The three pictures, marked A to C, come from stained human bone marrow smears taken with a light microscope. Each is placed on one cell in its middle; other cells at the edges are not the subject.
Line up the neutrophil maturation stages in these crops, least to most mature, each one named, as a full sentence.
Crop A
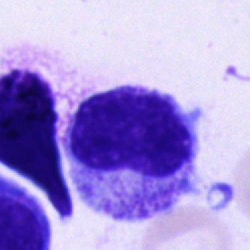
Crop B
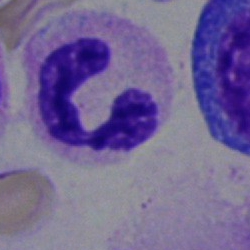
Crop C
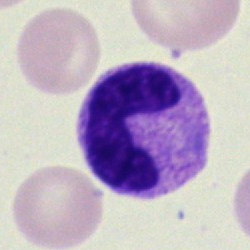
From least mature through to most mature, the order is crop A (a metamyelocyte), crop C (a band neutrophil) and crop B (a segmented neutrophil).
